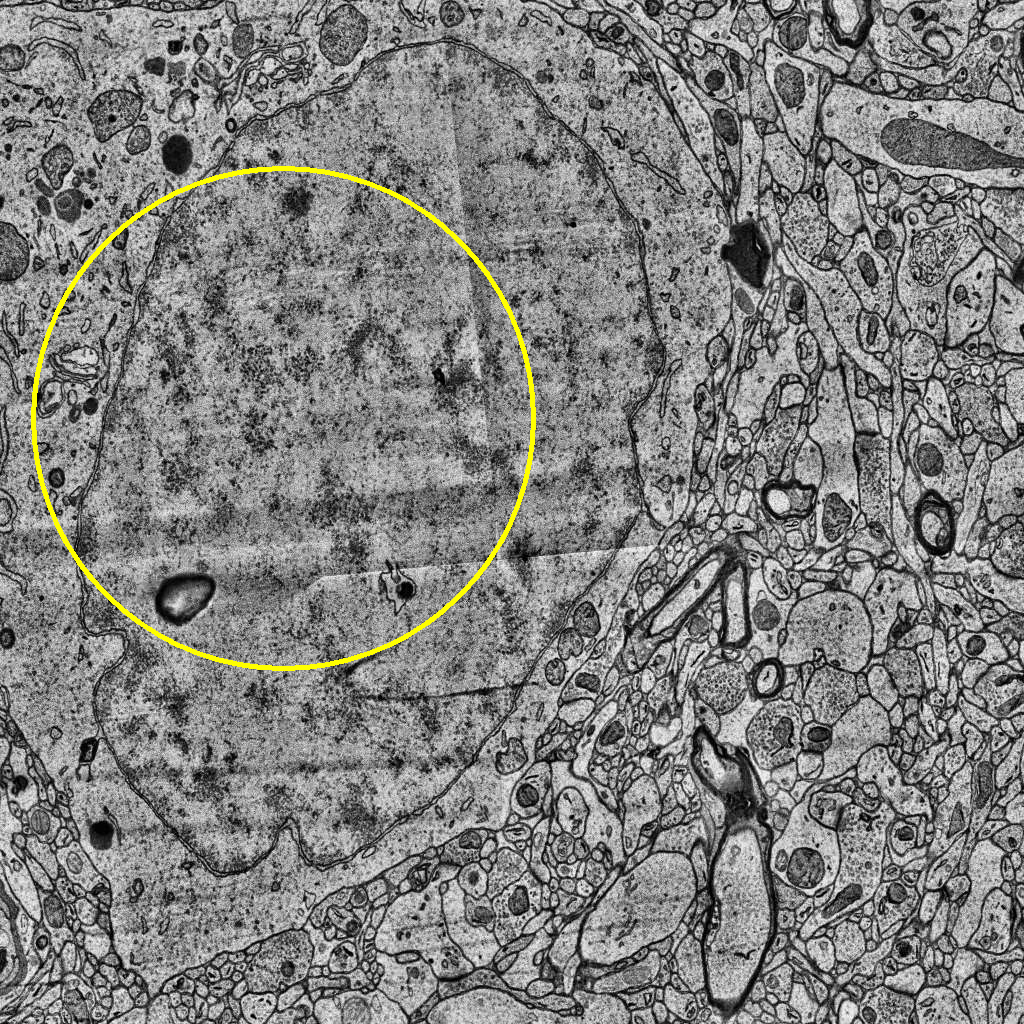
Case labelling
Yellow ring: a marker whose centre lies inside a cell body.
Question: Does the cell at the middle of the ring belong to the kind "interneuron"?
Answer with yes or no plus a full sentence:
Yes, in this picture the cell at the middle of the yellow ring belongs to that kind.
